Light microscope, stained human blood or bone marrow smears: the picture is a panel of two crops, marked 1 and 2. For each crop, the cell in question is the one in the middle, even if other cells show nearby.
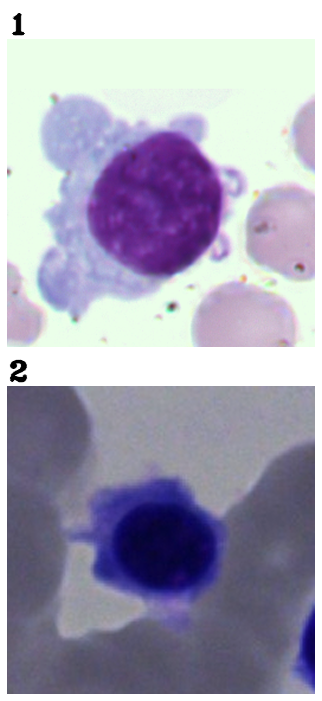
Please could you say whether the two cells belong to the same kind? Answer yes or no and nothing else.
no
